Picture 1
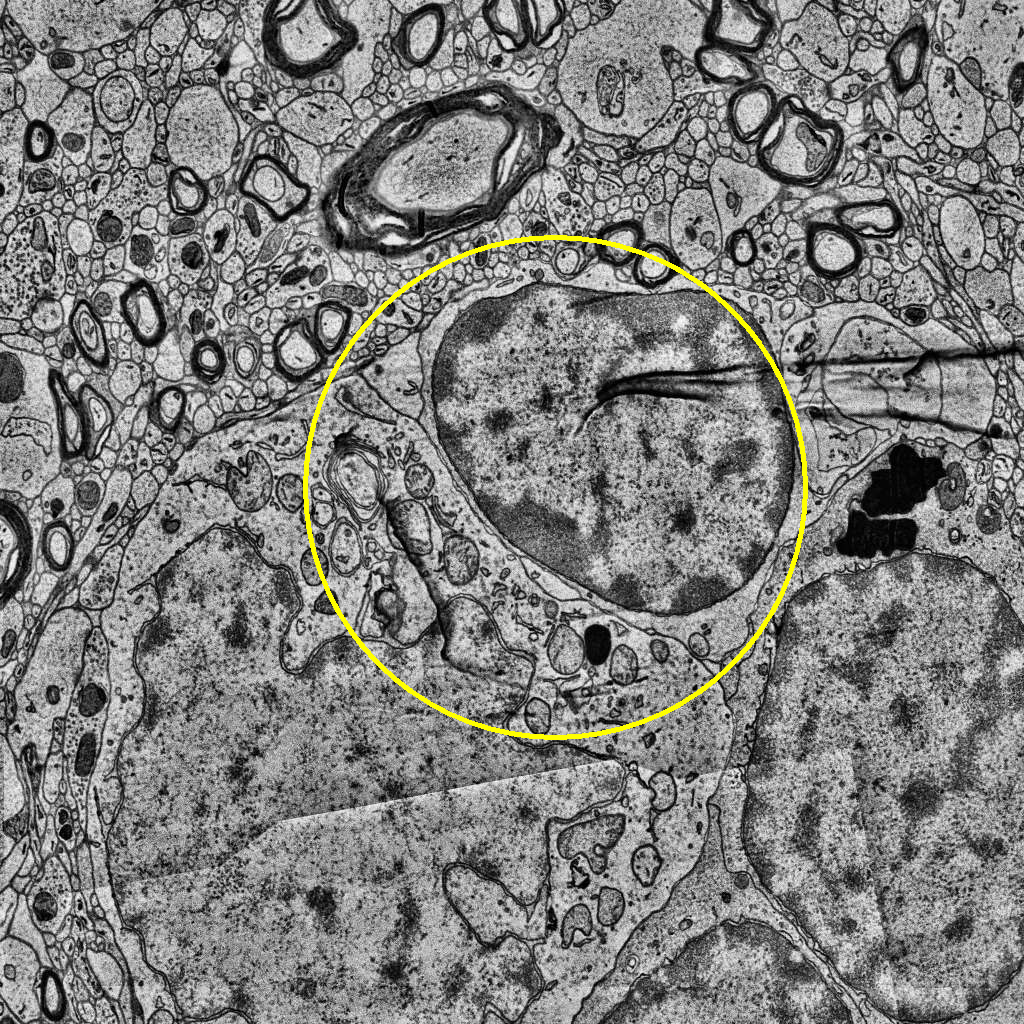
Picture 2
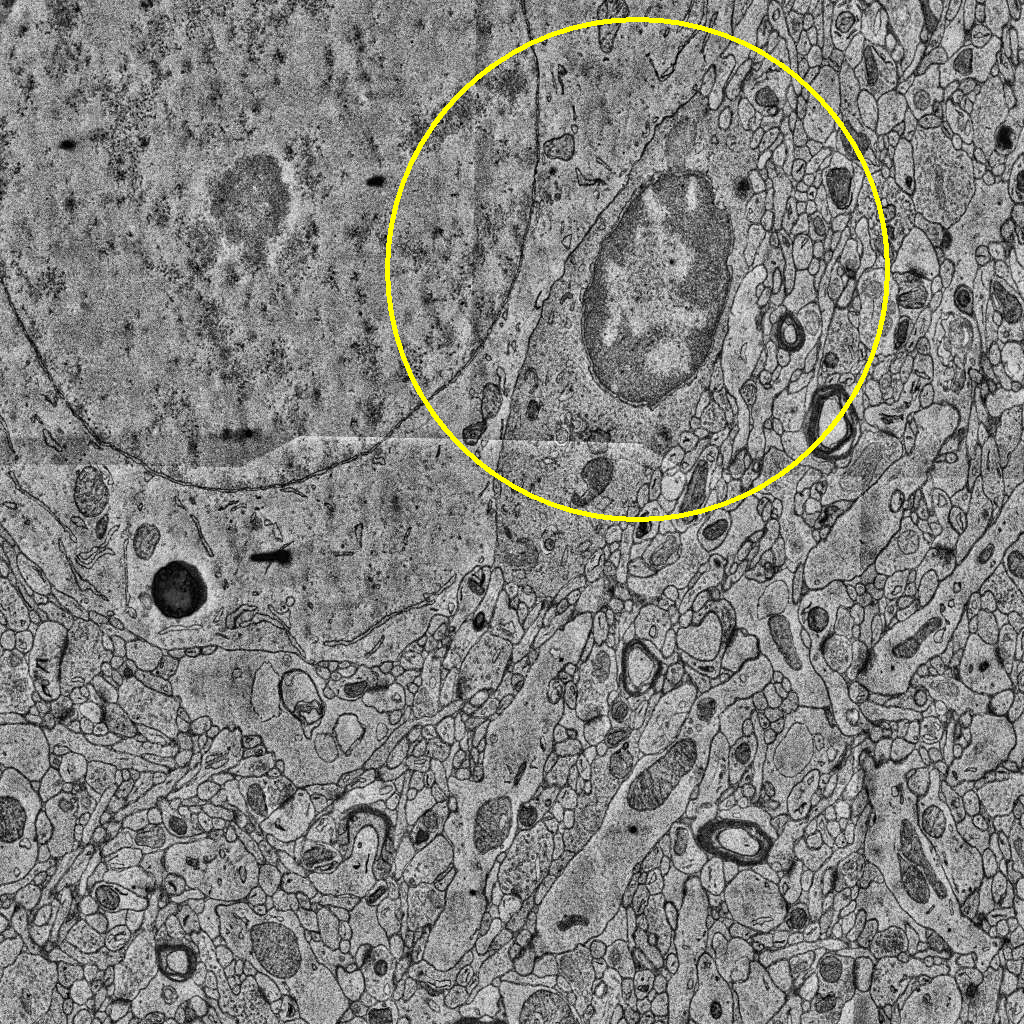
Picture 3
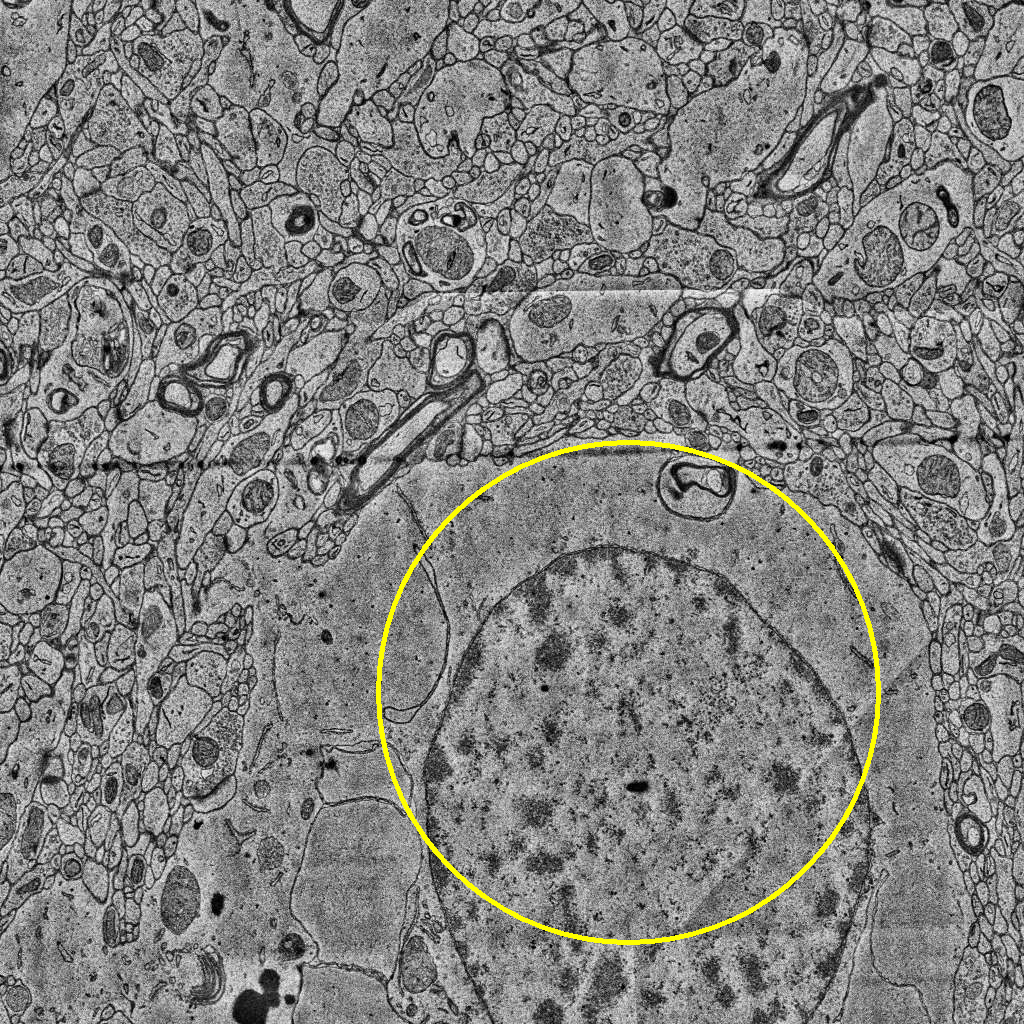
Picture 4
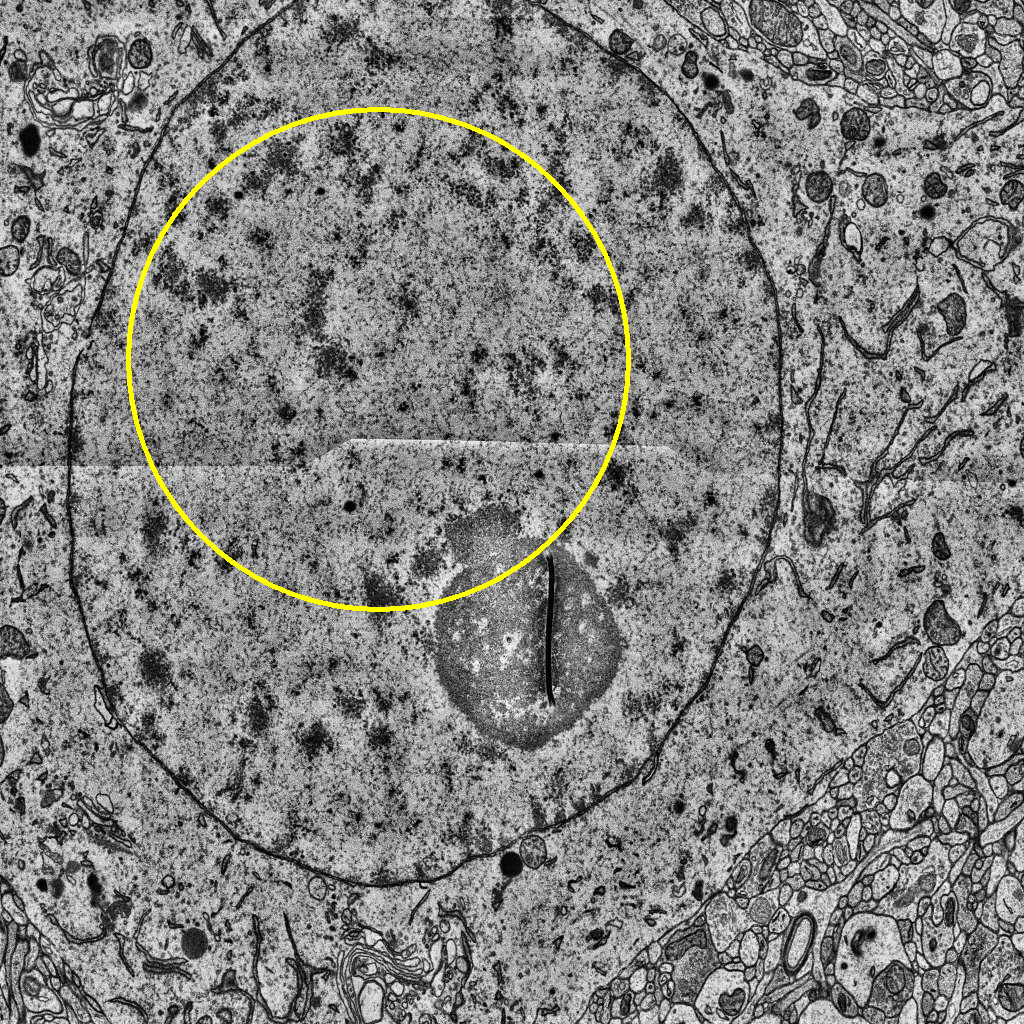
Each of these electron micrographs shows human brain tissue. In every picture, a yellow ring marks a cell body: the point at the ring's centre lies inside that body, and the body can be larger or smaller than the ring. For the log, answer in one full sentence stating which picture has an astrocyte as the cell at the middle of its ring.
In picture 3, the centre of the yellow ring lies inside the requested cell.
